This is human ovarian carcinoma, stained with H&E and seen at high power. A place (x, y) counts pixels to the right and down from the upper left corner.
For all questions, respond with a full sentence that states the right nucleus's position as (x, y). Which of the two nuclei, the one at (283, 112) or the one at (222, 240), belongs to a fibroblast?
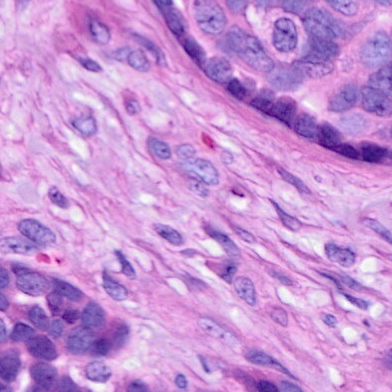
Housed in a fibroblast is the nucleus at (222, 240), not the other one.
